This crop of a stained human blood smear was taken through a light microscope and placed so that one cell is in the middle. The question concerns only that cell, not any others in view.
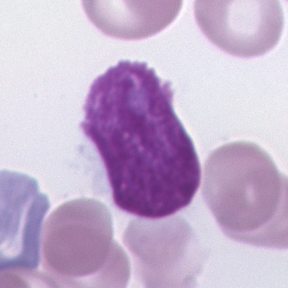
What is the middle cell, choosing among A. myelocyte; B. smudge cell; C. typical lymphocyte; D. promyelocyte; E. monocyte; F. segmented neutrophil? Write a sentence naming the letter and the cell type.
The cell centred in the crop is a smudge cell, and the correct option is thus B.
